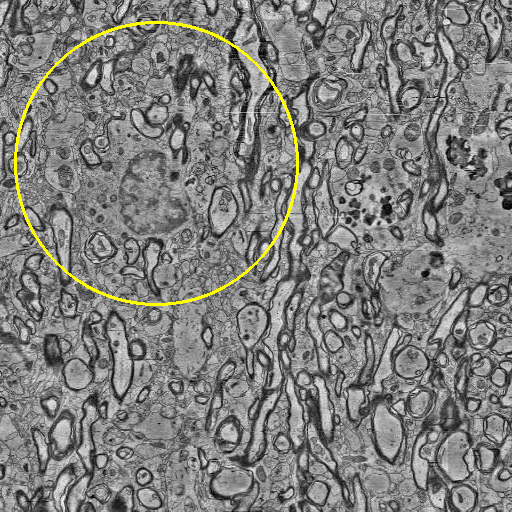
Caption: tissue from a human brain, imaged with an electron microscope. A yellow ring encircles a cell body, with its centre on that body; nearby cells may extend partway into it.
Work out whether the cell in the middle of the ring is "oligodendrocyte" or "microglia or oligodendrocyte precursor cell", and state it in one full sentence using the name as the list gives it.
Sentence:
In the picture, the cell that the yellow ring surrounds at its centre is an oligodendrocyte.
